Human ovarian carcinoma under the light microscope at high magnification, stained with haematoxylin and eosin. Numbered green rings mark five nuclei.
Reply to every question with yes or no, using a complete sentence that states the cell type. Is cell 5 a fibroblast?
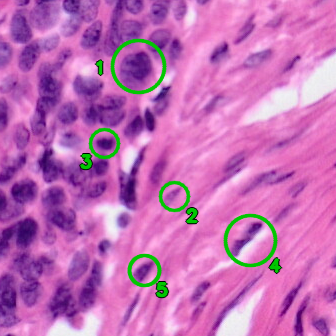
Yes, the cell at marker 5 is a fibroblast.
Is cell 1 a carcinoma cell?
Yes, the cell that is numbered 1 is a carcinoma cell.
